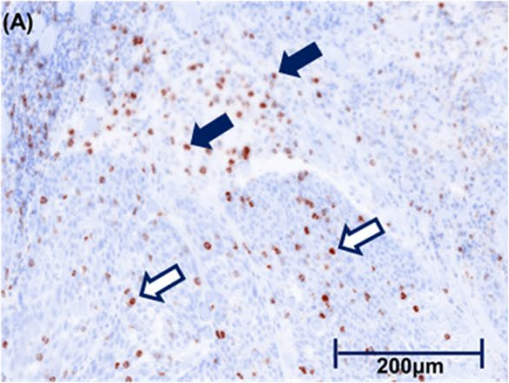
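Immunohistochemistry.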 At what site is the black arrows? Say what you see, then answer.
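Stromal. The black arrows point to brown-stained nuclei lying between the tumor nests. These brown cells sit in looser tissue outside the solid tumor sheets.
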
